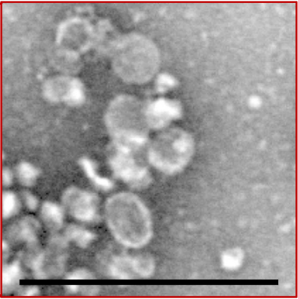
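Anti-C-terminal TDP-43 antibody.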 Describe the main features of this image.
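This electron micrograph shows a cluster of isolated vesicles lying free on a grey background, with no intact cell around them. The vesicles are small and round to slightly oval, and many of them touch or overlap one another in a loose group. Small irregular bright fragments of membrane-like material lie scattered between and around the vesicles.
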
